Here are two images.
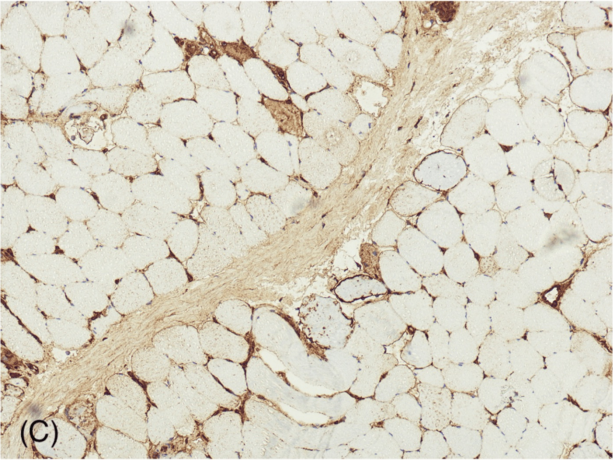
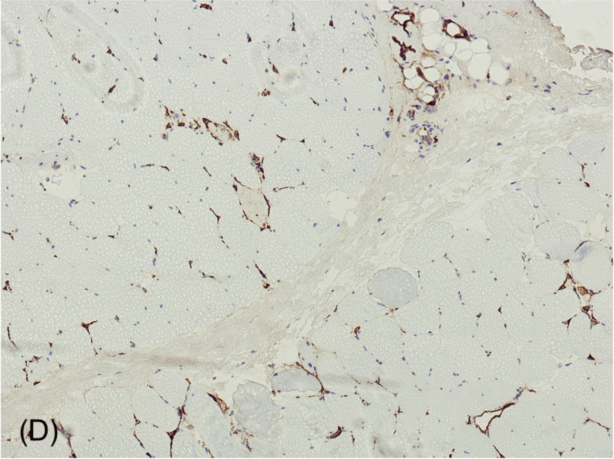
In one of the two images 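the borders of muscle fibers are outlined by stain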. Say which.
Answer: the first image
